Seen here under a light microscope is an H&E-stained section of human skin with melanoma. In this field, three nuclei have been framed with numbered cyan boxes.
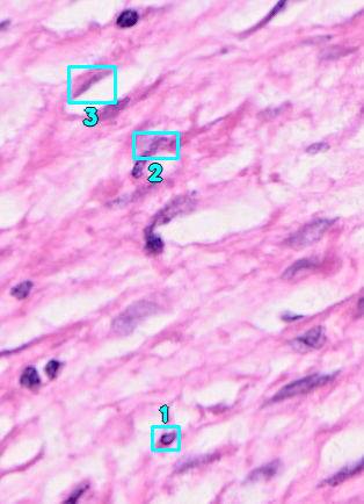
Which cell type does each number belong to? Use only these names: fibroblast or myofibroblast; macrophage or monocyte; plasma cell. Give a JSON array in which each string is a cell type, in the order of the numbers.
["macrophage or monocyte", "fibroblast or myofibroblast", "fibroblast or myofibroblast"]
